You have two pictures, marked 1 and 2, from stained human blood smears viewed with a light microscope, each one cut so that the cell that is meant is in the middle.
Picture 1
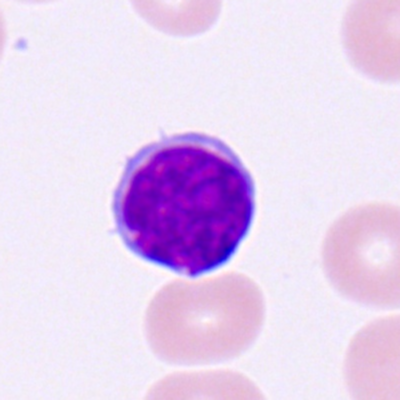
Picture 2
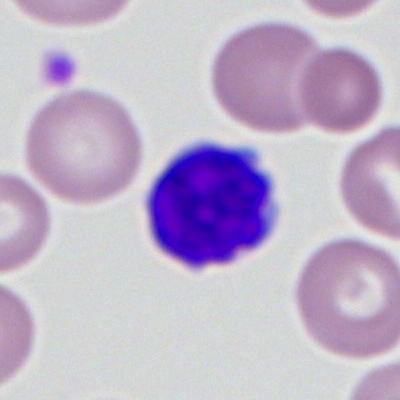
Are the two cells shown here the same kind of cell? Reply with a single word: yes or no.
yes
